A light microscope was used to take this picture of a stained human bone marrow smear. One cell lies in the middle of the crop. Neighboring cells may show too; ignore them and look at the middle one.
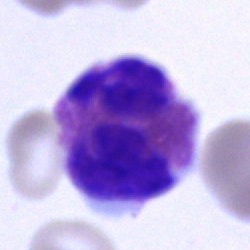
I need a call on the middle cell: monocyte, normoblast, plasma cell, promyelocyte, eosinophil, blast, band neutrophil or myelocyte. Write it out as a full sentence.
In the middle of this smear crop, the cell is an eosinophil.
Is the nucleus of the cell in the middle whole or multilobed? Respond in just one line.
The nuclear outline breaks up into two or more lobes.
